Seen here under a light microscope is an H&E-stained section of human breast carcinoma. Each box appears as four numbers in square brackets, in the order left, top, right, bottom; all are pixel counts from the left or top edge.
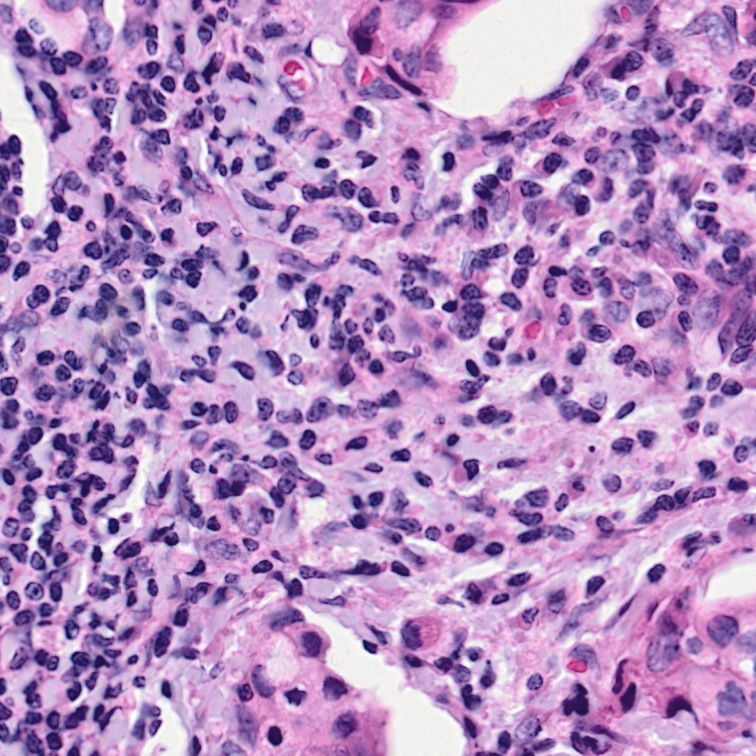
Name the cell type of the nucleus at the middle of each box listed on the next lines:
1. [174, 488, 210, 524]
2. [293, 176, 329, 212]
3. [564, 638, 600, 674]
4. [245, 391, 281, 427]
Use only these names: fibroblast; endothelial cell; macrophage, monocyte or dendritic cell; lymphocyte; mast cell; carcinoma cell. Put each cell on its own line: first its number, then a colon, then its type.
1: lymphocyte
2: lymphocyte
3: endothelial cell
4: lymphocyte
